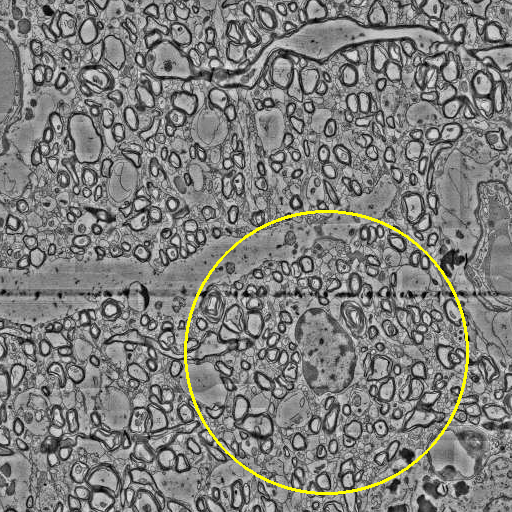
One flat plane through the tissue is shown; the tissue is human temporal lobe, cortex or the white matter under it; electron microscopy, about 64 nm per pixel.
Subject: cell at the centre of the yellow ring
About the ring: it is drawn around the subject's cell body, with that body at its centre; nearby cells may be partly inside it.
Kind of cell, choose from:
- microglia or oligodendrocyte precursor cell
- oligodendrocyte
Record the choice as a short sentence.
The subject cell is a microglial cell or oligodendrocyte precursor cell.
